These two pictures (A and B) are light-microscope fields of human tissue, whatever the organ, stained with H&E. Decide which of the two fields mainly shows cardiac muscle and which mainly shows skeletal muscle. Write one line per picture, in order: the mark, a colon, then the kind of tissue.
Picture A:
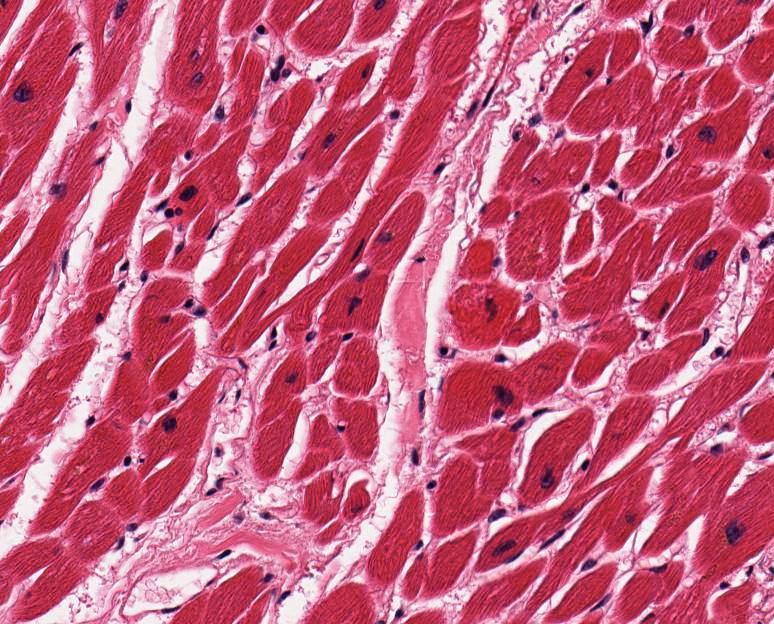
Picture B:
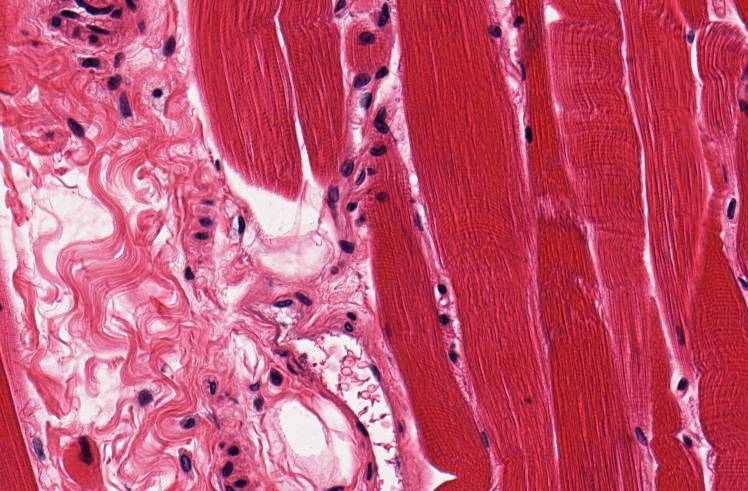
A: cardiac muscle
B: skeletal muscle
